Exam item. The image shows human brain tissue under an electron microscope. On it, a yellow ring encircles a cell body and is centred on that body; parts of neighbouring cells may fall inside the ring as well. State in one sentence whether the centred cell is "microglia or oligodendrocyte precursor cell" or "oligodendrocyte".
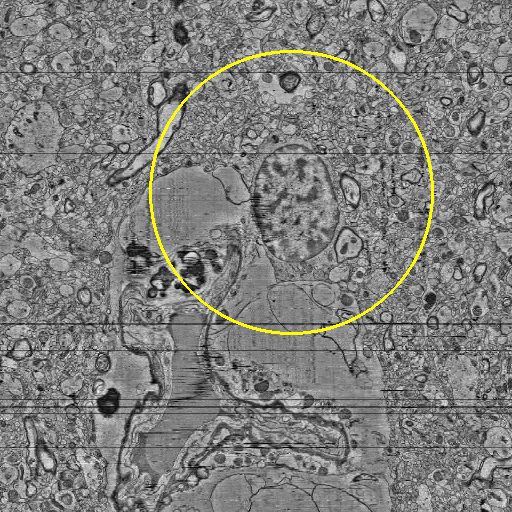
The cell body centred in the ring is an oligodendrocyte.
